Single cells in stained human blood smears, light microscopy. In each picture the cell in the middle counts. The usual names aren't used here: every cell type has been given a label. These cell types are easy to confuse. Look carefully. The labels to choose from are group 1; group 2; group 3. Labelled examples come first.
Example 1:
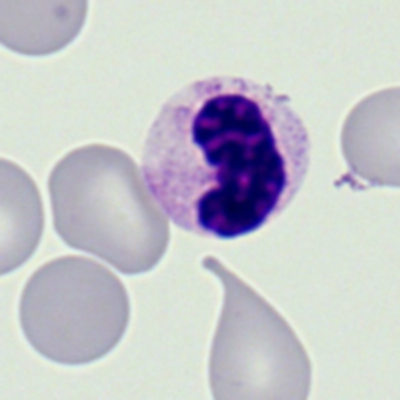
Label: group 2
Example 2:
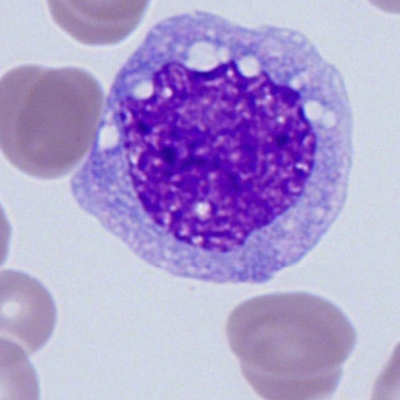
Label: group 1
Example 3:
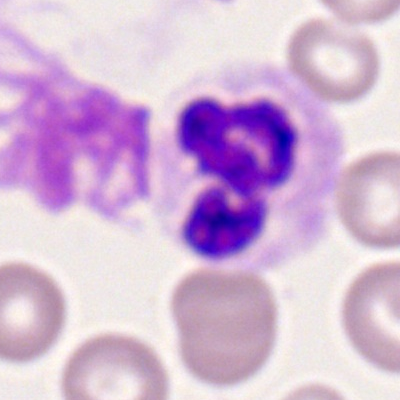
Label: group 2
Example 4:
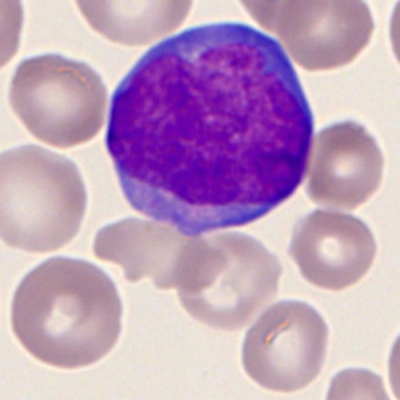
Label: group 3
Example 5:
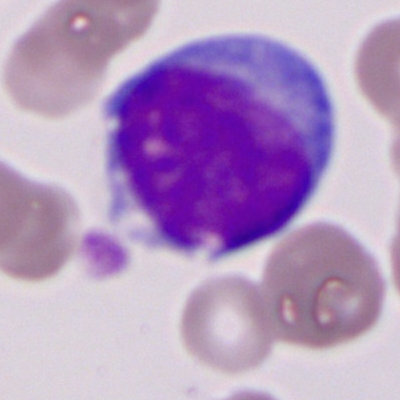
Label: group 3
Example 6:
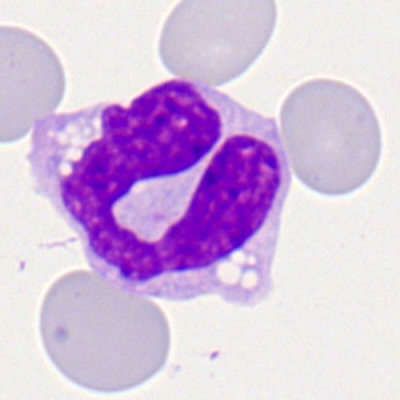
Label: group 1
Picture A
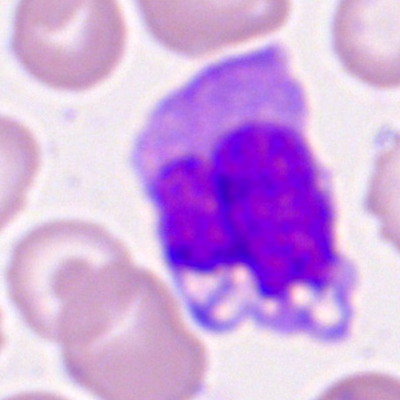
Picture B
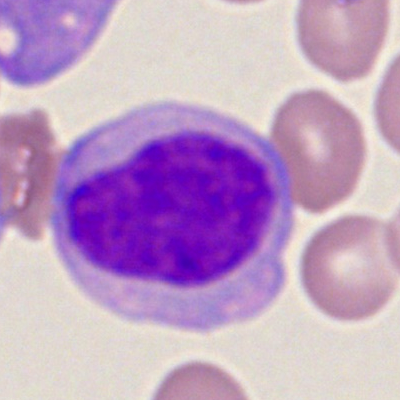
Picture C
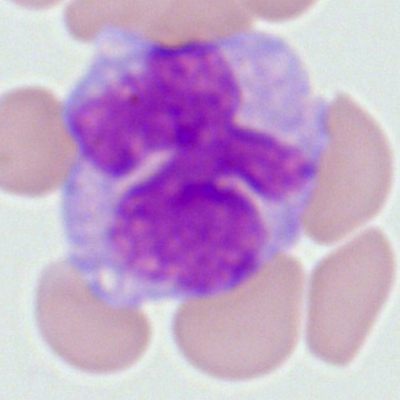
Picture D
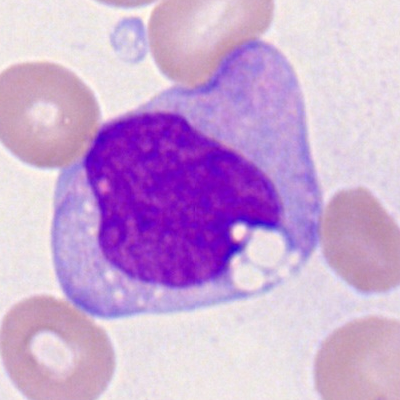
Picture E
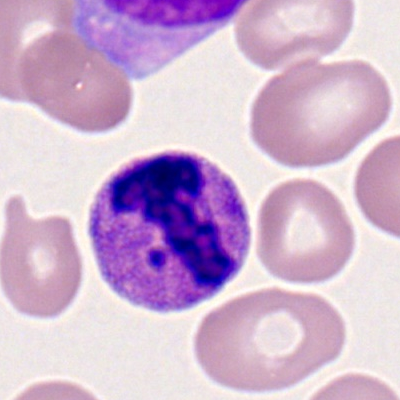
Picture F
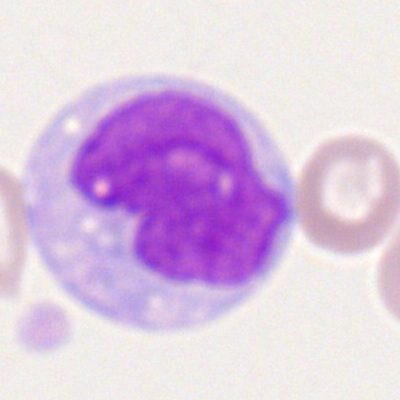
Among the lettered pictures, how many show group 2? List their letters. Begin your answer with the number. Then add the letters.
1, namely E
